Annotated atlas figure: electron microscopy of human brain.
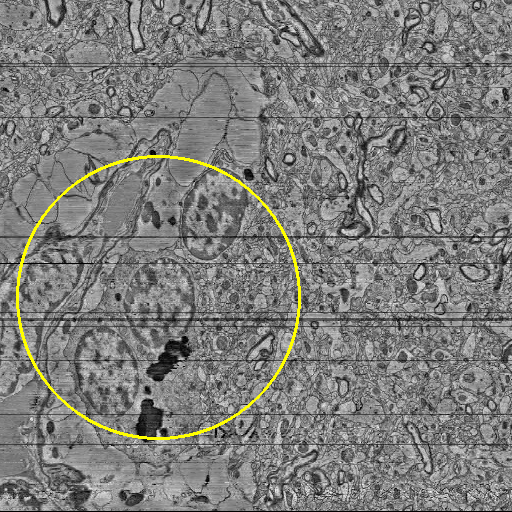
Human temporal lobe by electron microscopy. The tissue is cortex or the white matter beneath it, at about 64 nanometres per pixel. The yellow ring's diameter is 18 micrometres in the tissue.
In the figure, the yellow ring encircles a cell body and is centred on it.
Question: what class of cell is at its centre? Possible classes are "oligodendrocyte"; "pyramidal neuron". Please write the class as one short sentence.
The yellow ring is drawn around an oligodendrocyte.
